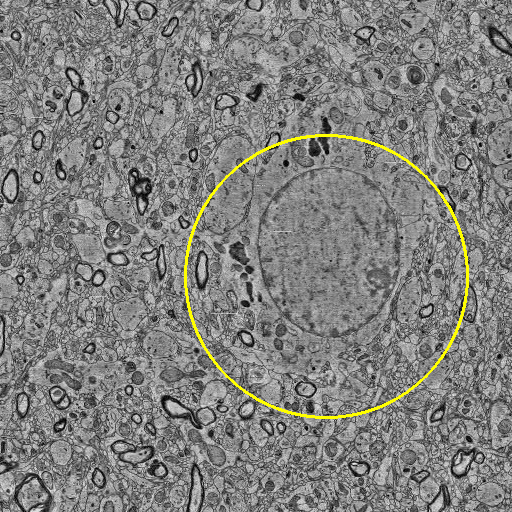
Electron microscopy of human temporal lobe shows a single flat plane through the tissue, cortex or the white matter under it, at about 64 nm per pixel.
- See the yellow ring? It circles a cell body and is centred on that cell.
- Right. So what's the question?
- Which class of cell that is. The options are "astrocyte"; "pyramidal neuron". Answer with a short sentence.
The centre of the ring holds an astrocyte.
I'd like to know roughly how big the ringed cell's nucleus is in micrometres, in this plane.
In this plane, the nucleus of the cell at the centre of the ring measures about 11 by 9 micrometres.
